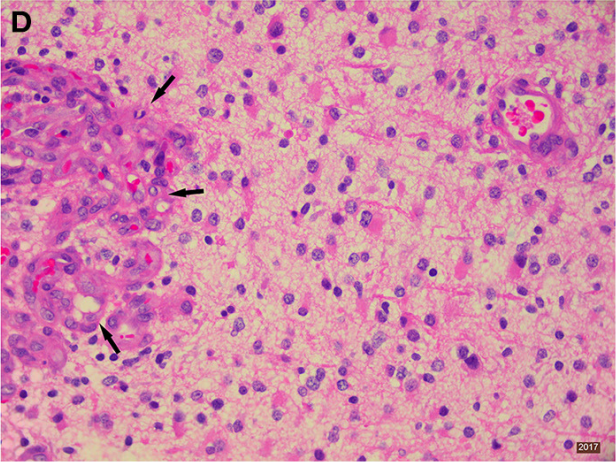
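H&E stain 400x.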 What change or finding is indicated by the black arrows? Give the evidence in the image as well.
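Glomeruloid vascular proliferation. The arrows mark a tufted cluster of small vessels with piled-up plump cells at the left. The cluster forms a rounded, knot-like mass with small lumens containing red cells.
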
